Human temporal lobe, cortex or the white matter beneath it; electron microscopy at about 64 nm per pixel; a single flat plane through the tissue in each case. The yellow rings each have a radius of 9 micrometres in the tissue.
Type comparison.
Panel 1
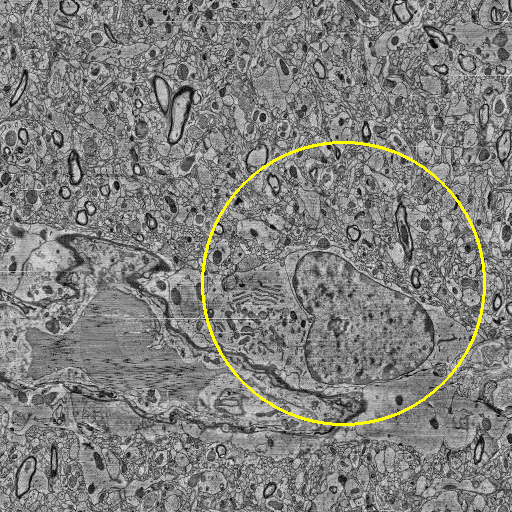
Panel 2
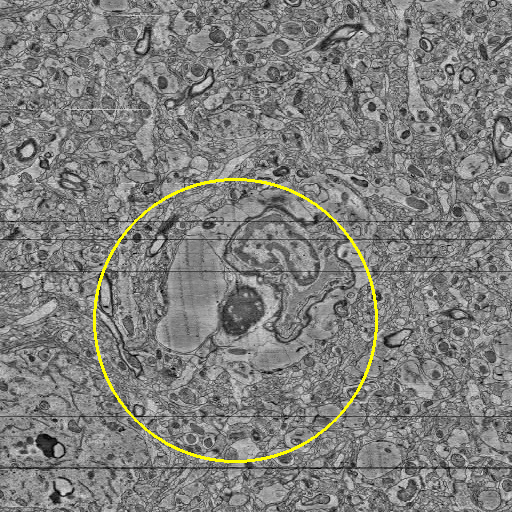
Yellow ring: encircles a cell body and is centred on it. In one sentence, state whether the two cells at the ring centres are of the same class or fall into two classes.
In these panels, the two cells at the ring centres are of the same class.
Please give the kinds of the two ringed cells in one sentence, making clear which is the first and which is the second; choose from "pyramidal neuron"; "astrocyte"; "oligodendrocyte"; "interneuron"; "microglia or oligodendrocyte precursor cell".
Both rings mark a microglial cell or oligodendrocyte precursor cell, one in each picture.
